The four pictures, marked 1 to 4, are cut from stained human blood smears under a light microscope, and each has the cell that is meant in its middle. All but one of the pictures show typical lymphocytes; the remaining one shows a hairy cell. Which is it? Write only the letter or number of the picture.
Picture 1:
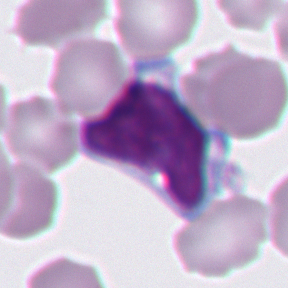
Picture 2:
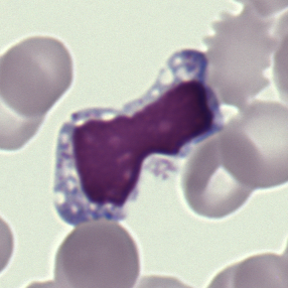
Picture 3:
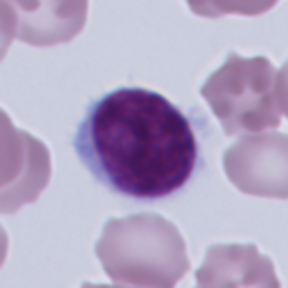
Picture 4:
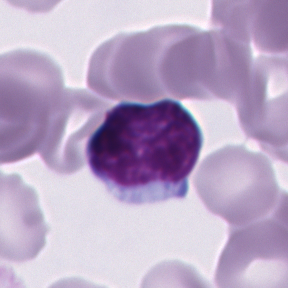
3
